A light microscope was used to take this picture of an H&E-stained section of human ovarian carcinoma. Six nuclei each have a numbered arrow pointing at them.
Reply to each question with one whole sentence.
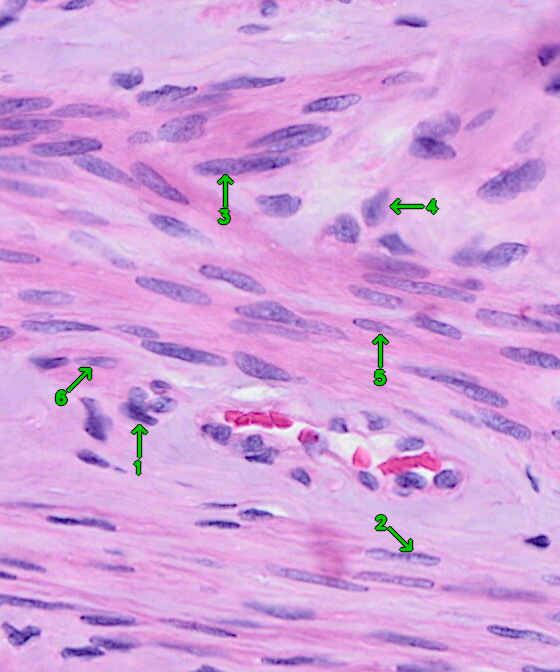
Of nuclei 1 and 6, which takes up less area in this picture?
Nucleus 6 is the smaller one; nucleus 1 covers about 1.5 times its area.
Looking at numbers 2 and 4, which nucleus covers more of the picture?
It is nucleus 4, which covers about 2 times the area of nucleus 2.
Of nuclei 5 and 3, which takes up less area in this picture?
Nucleus 5 is the smaller one; nucleus 3 covers about 2 times its area.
